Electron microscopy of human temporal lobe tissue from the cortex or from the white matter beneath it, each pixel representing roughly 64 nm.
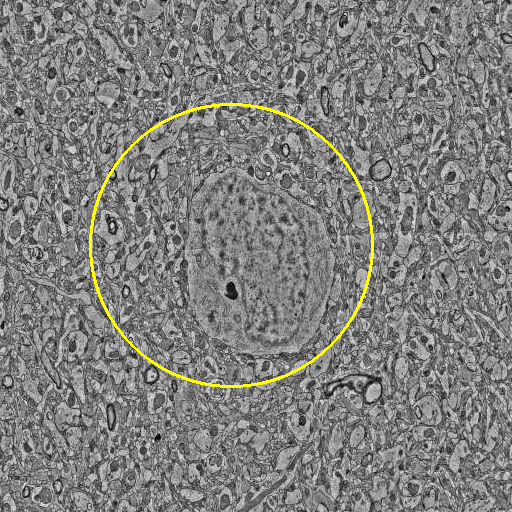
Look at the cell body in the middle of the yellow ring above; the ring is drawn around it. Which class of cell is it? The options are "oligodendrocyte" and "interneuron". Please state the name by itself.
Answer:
interneuron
